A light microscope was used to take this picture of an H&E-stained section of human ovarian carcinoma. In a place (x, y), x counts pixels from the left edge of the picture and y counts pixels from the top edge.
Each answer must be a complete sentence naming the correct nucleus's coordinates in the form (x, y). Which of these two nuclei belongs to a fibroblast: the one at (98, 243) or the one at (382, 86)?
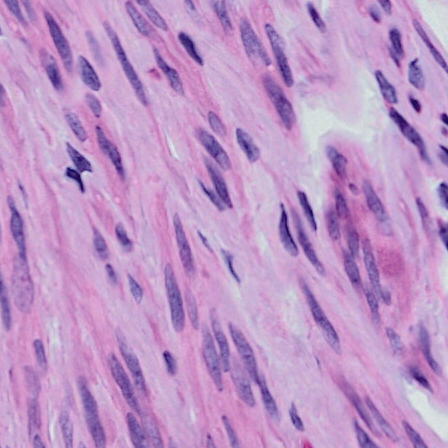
The nucleus of a fibroblast is the one found at (382, 86), not the other.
